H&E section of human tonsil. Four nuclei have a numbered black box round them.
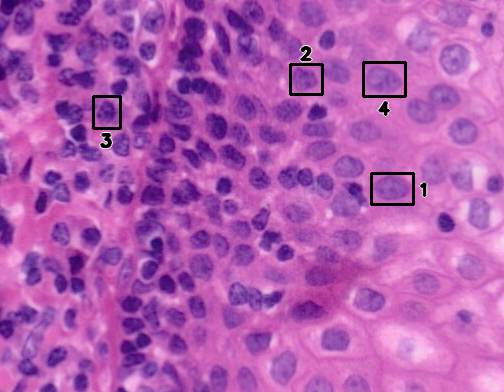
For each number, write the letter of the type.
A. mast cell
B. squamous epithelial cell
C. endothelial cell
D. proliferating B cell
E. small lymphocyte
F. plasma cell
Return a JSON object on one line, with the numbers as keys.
{"1": "B", "2": "B", "3": "F", "4": "B"}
